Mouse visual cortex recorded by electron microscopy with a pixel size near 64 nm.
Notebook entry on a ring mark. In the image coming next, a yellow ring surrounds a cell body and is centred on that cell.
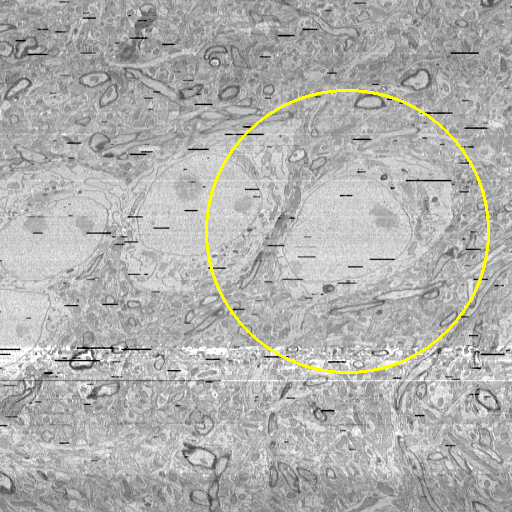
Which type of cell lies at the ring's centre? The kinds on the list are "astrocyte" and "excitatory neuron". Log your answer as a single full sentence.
Centred in the yellow ring is an excitatory neuron, the cell recorded for this image.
